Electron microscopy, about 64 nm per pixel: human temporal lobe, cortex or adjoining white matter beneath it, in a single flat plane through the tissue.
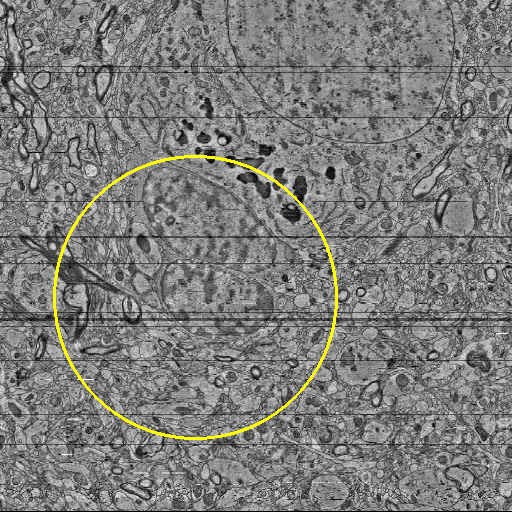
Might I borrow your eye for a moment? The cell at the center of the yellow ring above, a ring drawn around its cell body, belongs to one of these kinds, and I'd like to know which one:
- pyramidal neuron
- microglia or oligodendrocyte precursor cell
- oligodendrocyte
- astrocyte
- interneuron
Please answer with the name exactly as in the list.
oligodendrocyte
